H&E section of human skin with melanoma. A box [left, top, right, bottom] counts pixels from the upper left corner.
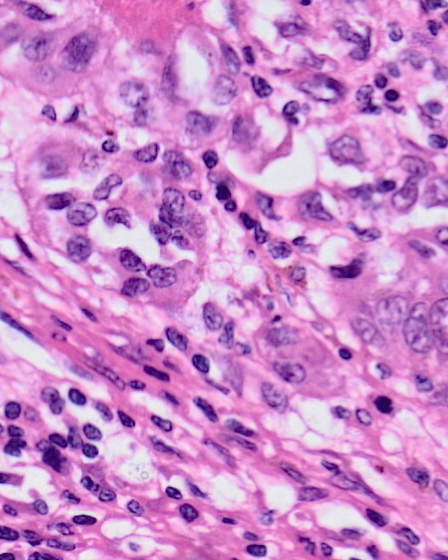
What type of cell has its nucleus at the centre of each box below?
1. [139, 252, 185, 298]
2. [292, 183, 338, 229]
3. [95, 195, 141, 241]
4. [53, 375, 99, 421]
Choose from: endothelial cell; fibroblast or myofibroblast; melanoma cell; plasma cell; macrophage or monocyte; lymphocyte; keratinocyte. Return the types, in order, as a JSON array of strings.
["melanoma cell", "melanoma cell", "melanoma cell", "lymphocyte"]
